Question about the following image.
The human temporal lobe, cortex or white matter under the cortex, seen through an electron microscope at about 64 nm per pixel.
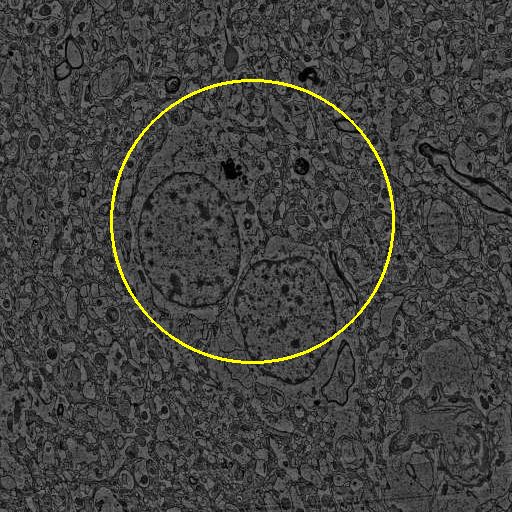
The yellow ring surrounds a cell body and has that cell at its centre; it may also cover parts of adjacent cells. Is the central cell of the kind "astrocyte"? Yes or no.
Yes, it is of that kind.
